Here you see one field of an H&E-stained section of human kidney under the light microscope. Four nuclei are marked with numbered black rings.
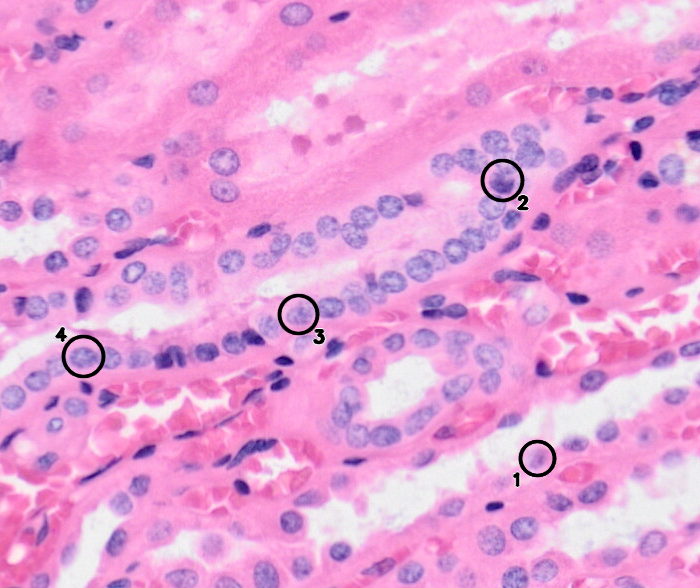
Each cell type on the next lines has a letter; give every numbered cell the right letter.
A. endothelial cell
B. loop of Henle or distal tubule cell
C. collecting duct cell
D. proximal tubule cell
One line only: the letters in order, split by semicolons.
B; C; C; C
